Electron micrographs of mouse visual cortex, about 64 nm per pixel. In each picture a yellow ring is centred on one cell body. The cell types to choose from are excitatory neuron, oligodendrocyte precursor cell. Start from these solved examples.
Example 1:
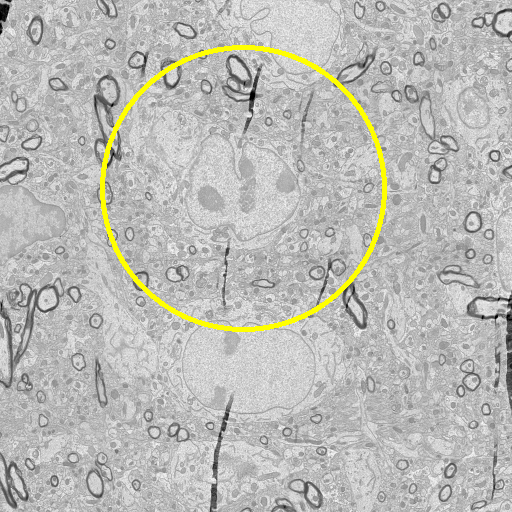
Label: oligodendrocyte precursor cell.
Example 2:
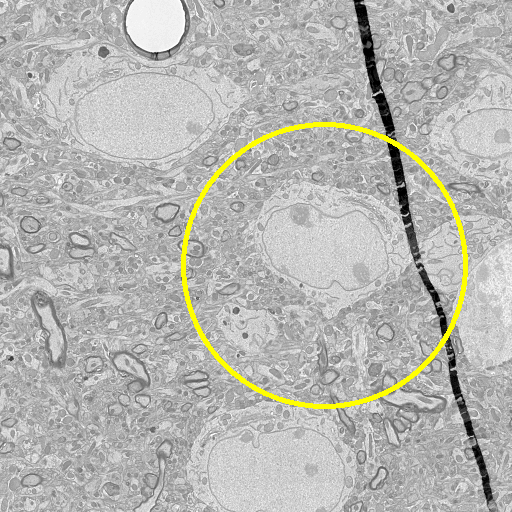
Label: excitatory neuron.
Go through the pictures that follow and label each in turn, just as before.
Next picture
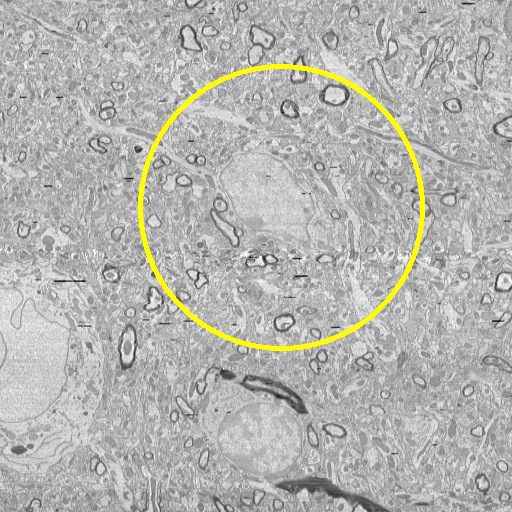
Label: oligodendrocyte precursor cell.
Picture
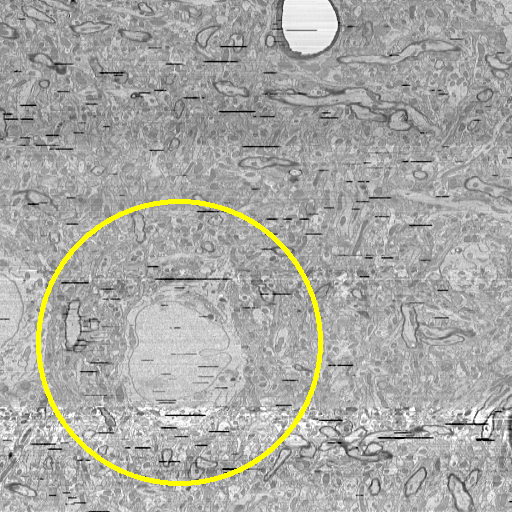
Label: excitatory neuron.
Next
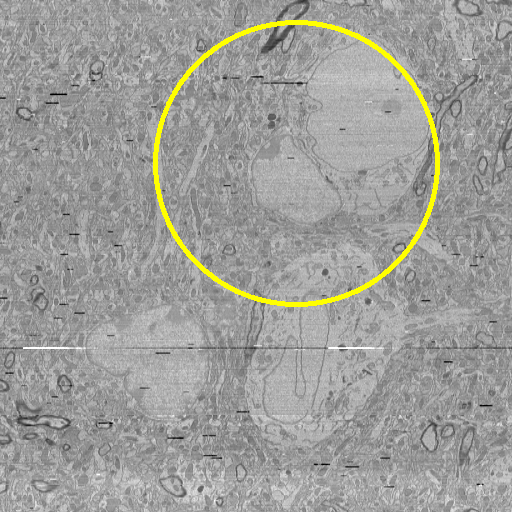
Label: oligodendrocyte precursor cell.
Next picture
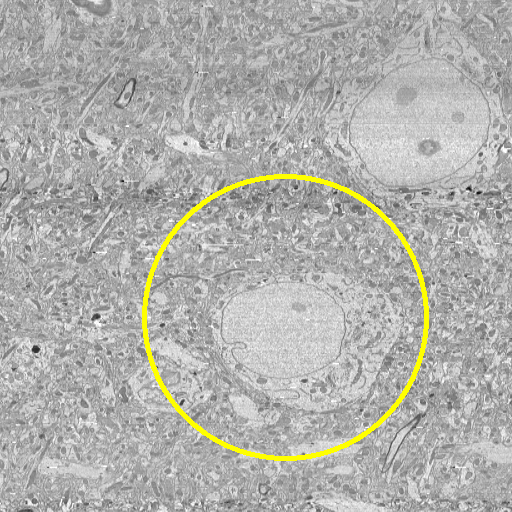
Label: excitatory neuron.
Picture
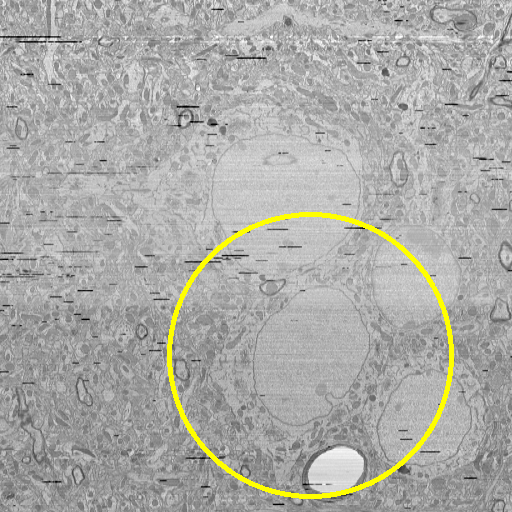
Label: excitatory neuron.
